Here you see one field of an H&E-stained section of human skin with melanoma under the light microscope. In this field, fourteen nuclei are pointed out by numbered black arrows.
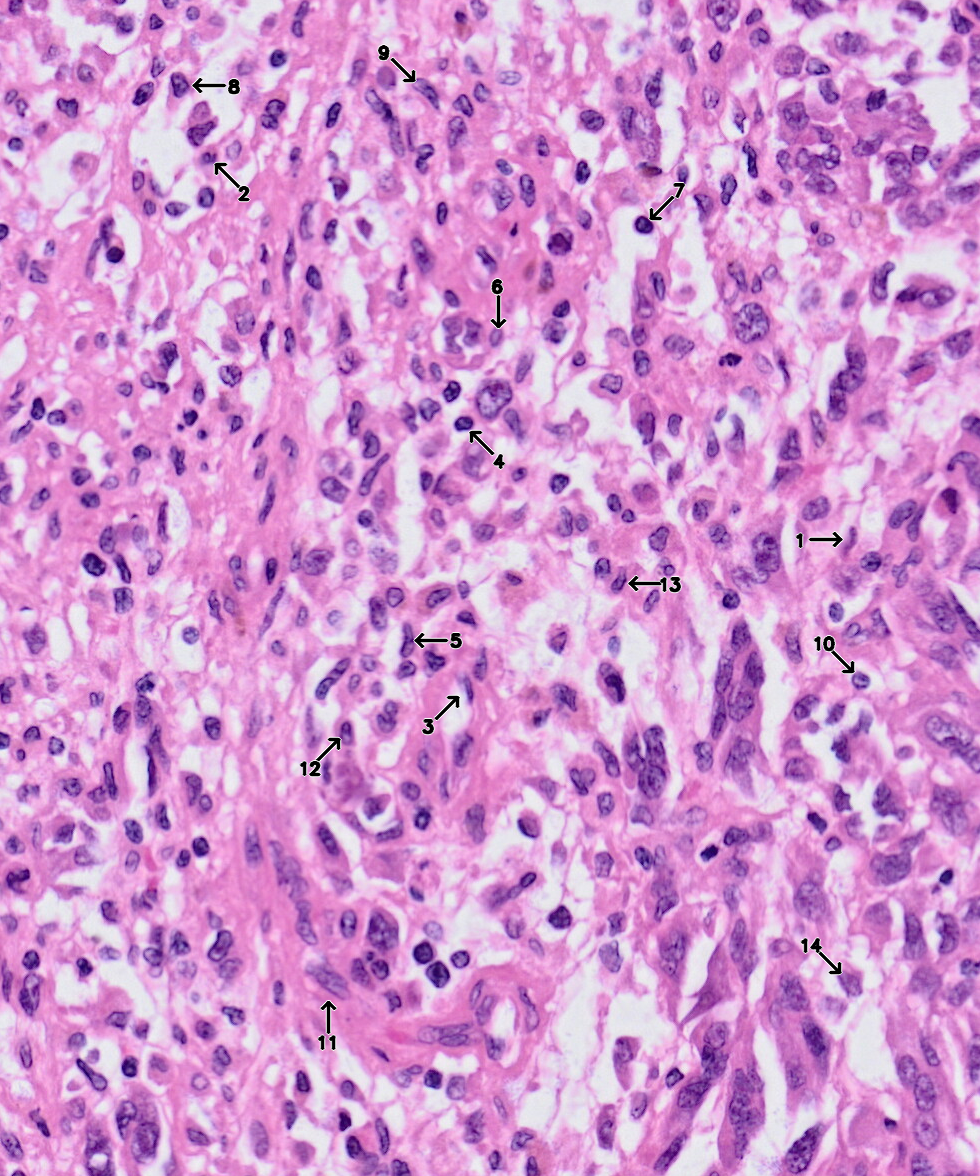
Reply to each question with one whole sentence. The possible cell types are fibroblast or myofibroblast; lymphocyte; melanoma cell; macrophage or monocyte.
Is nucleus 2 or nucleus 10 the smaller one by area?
The smaller nucleus is 2, and 10 covers roughly 2 times its area.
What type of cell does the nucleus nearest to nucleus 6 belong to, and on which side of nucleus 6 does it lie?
A melanoma cell lies closest, to the left of nucleus 6.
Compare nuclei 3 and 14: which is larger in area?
At about 1.5 times the area of nucleus 3, nucleus 14 is the larger of the two.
